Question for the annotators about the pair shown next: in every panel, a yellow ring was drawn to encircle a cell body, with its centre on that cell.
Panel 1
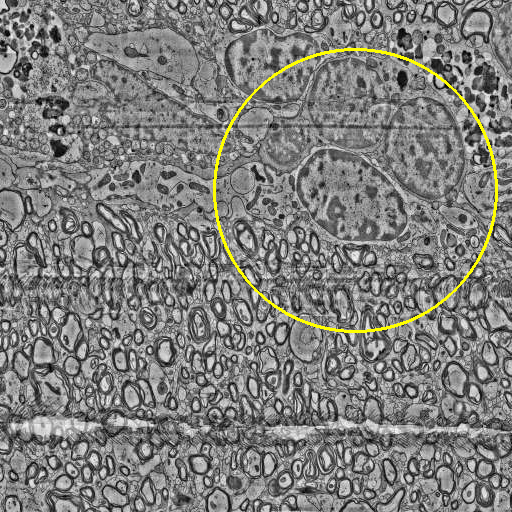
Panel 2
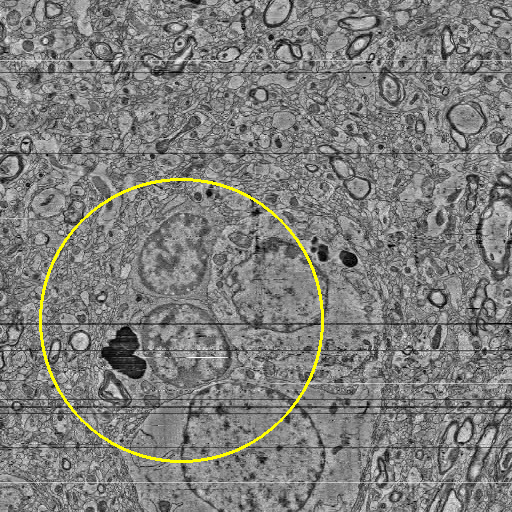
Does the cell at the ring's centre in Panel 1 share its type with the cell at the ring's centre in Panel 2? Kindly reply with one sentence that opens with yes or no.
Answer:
No, in Panels 1 and 2 the cells at the ring centres belong to separate types.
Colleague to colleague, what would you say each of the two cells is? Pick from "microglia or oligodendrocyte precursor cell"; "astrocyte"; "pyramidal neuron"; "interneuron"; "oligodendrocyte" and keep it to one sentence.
The cell in the first picture is a microglial cell or oligodendrocyte precursor cell; the second picture's cell is an oligodendrocyte.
